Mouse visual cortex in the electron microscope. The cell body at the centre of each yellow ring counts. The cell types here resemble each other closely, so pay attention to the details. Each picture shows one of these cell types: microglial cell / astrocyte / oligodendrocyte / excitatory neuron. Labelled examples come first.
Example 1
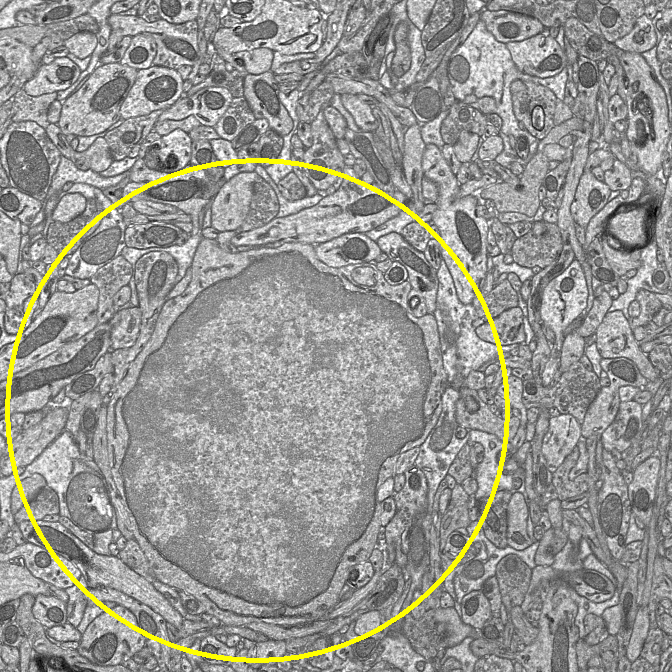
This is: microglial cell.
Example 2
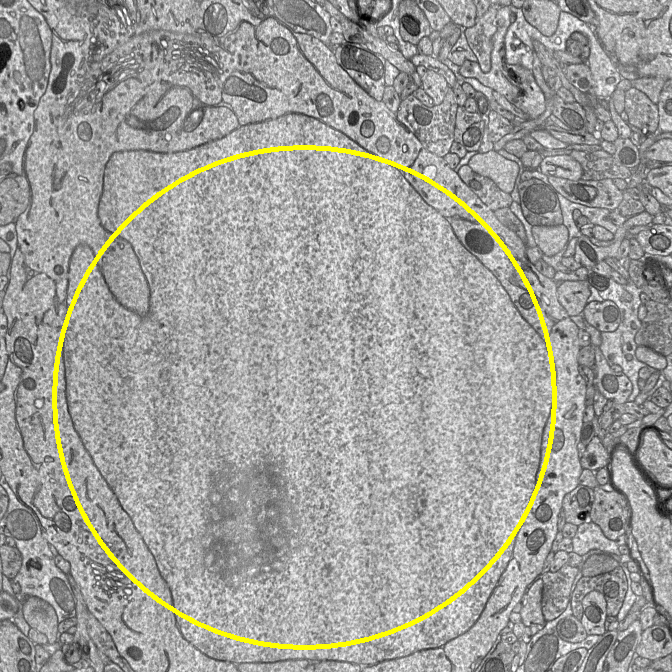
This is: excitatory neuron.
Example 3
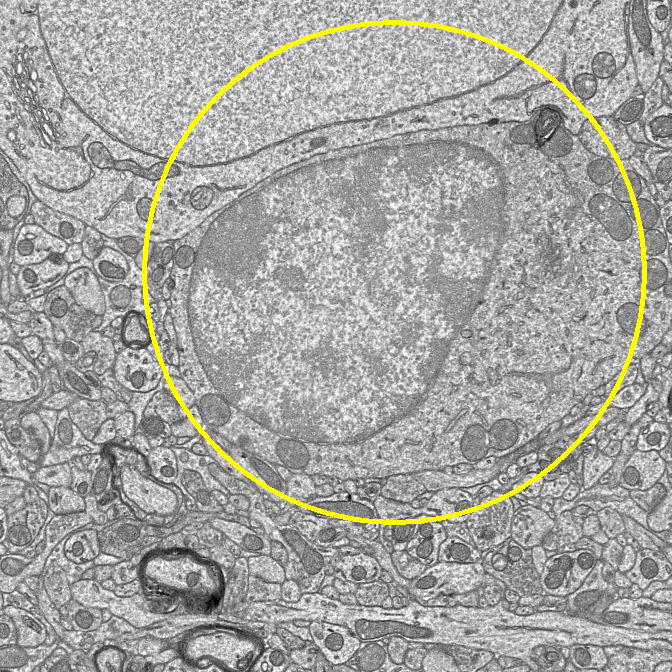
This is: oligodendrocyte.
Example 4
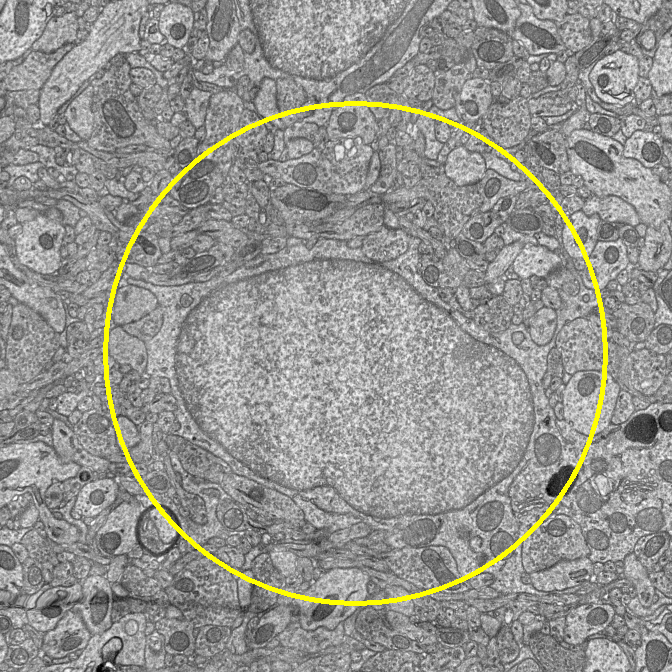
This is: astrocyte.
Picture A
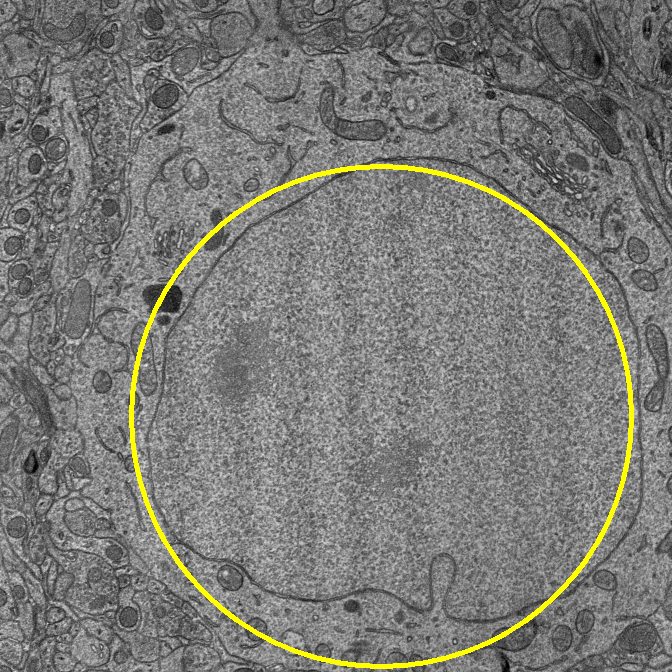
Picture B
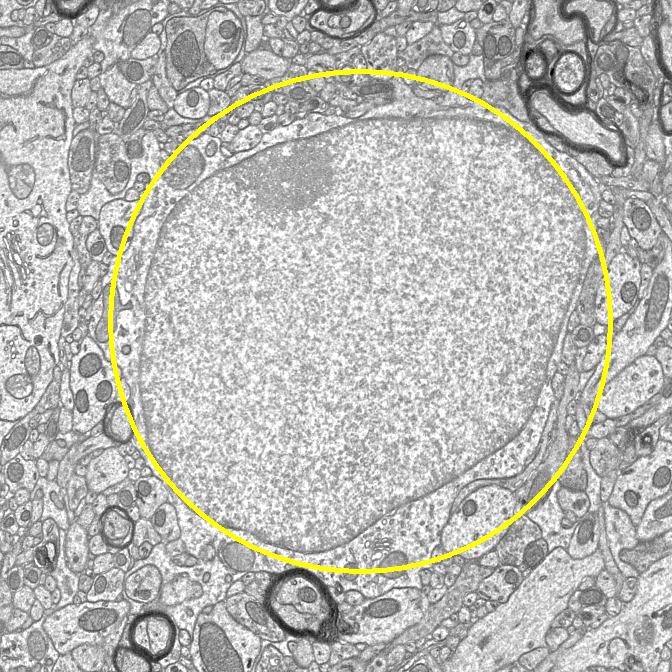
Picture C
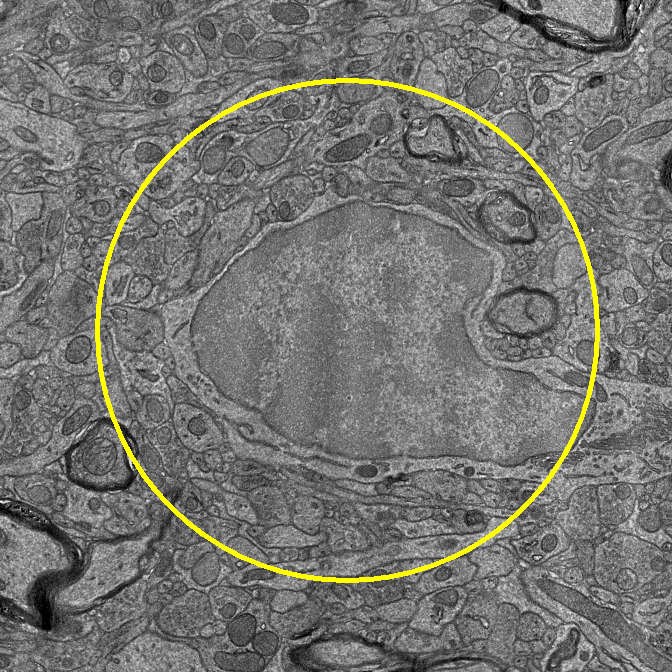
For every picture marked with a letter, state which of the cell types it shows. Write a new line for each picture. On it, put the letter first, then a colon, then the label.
A: excitatory neuron.
B: astrocyte.
C: microglial cell.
